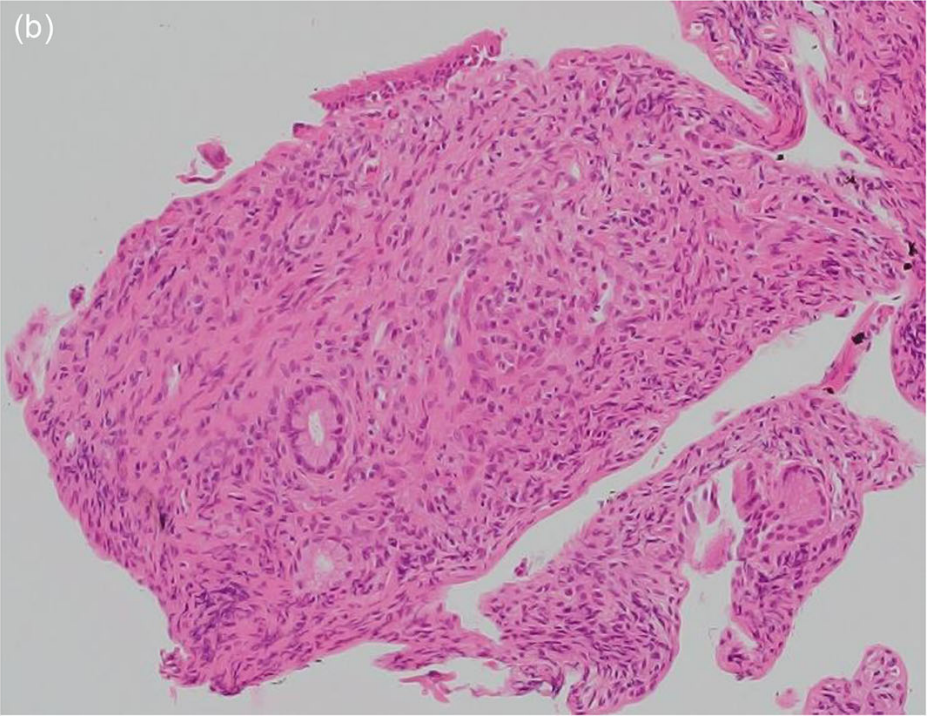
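The bulk is densely cellular pink connective tissue in which spindle-shaped and oval purple nuclei lie in loose streams. Scattered within it are a few small round glands, each a ring of cuboidal to columnar epithelial cells around a tiny lumen, and a few small vessels. A thin strip of surface lining runs along the top edge. Small dark round nuclei mixed among the stromal cells fit the moderate lymphocyte infiltration.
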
